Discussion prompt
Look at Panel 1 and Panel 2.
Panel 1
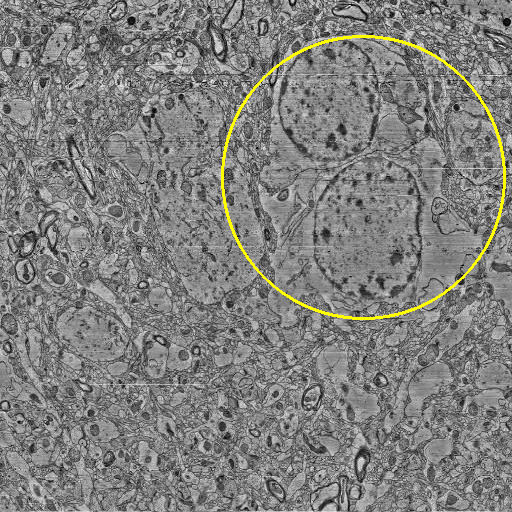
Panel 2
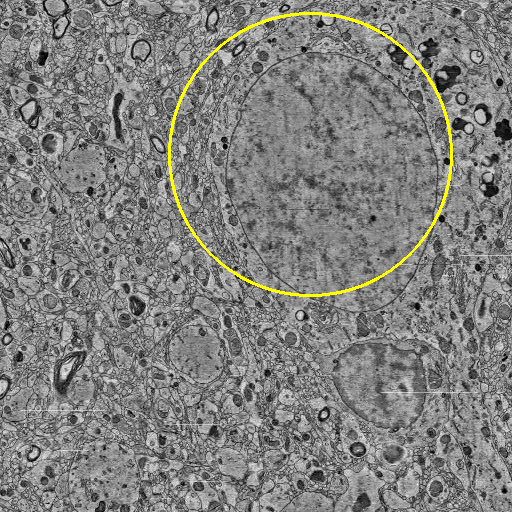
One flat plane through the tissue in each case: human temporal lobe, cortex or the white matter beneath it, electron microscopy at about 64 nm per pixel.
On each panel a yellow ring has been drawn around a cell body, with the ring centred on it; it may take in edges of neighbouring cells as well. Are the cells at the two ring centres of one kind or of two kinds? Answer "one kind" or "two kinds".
two kinds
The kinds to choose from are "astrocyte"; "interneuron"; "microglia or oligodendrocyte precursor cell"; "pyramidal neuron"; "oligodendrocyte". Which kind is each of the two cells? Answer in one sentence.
Of the two, the first cell is an astrocyte and the second cell is a pyramidal neuron.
